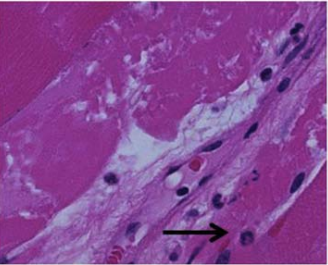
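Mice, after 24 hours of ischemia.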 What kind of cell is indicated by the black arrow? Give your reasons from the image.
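Several similar small dark nuclei are scattered in the loose interstitial tissue.
Answer: inflammatory cell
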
